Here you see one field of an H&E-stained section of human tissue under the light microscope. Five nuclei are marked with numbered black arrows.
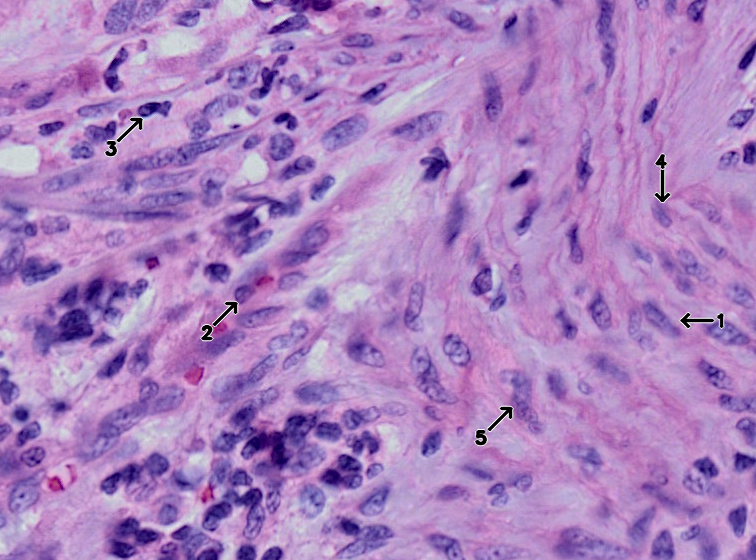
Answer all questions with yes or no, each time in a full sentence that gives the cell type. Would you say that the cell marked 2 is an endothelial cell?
Yes, so the cell at label 2 is an endothelial cell.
